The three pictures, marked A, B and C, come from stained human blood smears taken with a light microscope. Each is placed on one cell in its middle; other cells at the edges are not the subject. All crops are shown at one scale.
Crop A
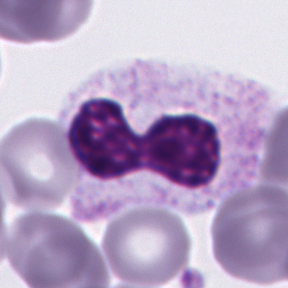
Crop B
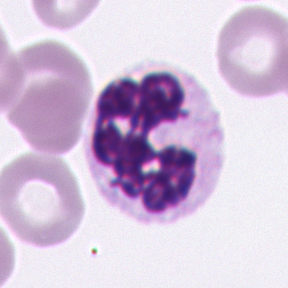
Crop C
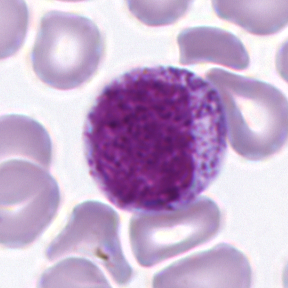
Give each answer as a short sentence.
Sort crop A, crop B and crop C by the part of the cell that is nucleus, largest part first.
The most filled comes first: C, B, A.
